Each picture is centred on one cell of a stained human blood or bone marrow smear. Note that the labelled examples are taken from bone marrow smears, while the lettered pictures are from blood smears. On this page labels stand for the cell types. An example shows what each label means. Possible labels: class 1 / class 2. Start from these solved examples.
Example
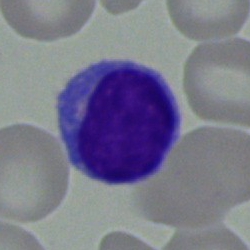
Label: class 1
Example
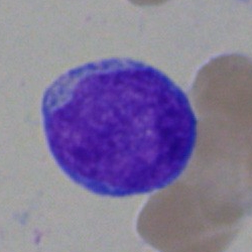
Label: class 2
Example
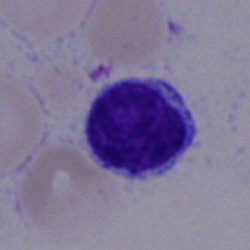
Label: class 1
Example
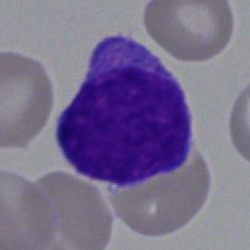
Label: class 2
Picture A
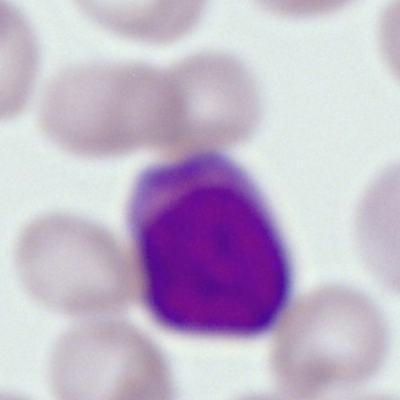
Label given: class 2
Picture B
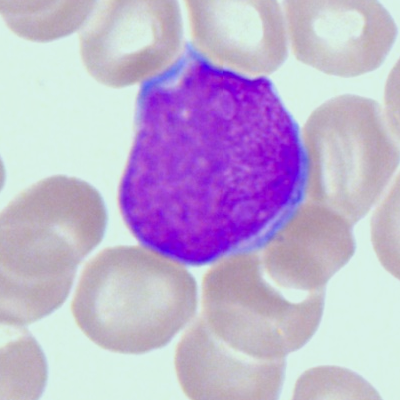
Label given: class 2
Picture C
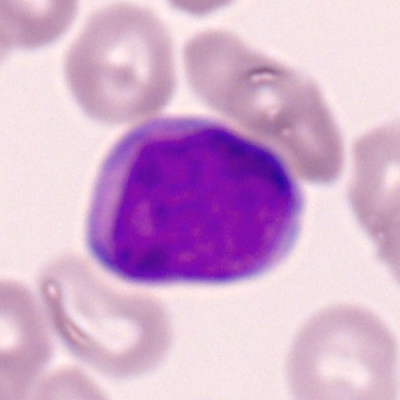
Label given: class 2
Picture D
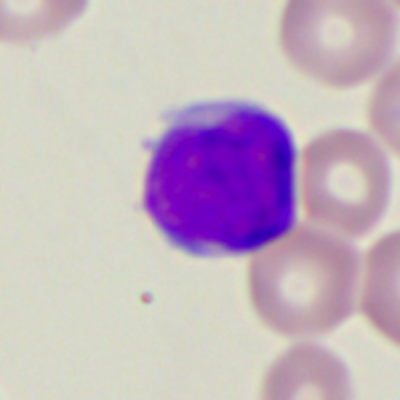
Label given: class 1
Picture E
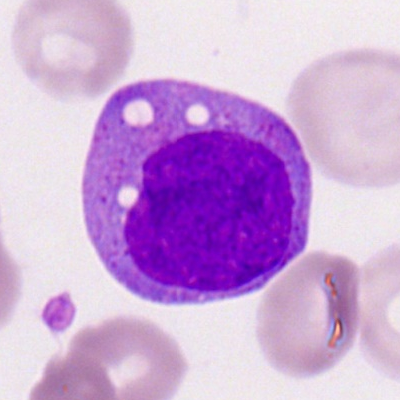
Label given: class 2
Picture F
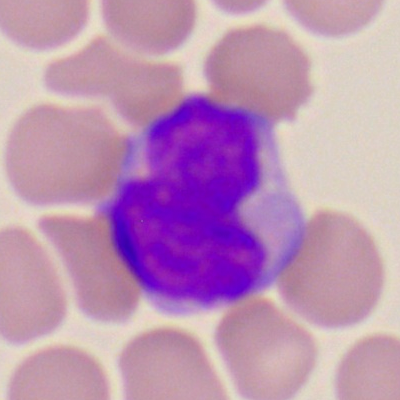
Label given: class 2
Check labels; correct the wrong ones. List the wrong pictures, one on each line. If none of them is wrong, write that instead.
D: not class 1 but class 2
